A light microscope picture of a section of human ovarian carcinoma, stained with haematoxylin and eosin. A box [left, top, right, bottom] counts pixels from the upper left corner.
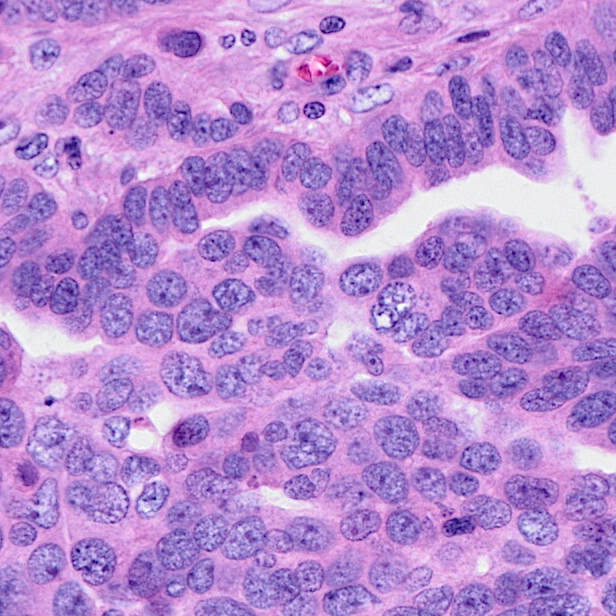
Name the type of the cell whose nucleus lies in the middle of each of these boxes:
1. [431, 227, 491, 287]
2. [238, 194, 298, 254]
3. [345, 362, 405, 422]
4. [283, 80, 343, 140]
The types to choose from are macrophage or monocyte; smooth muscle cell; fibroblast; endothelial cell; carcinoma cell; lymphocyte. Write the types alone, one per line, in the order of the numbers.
carcinoma cell
carcinoma cell
carcinoma cell
lymphocyte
